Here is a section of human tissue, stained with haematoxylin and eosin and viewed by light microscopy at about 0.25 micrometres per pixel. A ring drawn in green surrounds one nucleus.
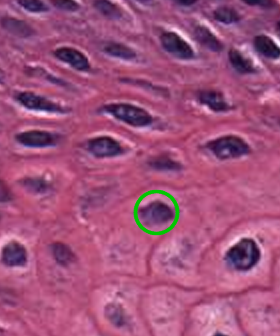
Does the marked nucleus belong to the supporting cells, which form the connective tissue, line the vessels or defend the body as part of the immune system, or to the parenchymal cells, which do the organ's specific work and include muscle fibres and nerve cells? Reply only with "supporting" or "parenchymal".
parenchymal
